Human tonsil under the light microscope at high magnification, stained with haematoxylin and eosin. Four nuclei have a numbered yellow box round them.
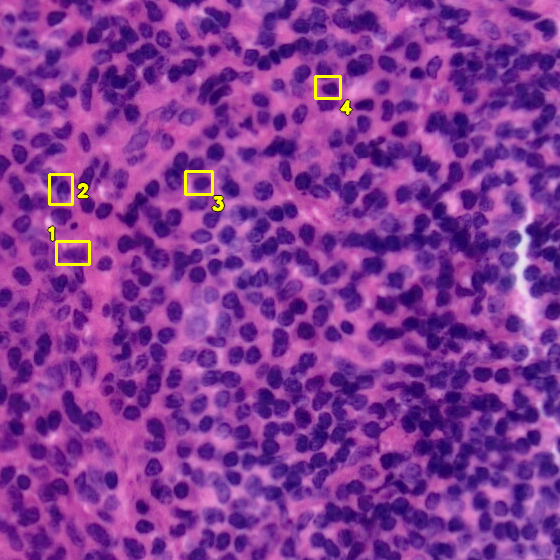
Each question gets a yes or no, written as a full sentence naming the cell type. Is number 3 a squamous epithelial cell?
No, the cell labelled 3 is a plasma cell and not a squamous epithelial cell.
